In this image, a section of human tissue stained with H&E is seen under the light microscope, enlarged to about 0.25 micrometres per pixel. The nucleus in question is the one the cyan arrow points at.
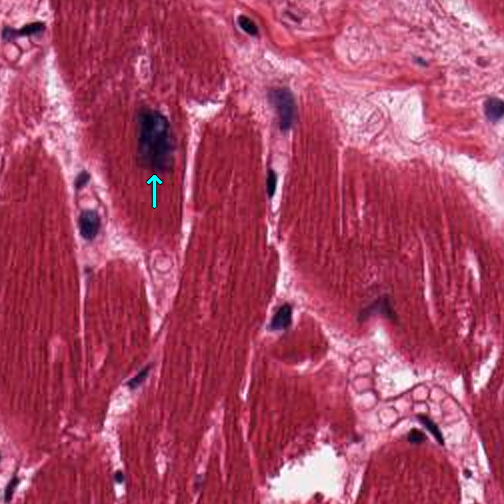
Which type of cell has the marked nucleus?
cardiomyocyte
